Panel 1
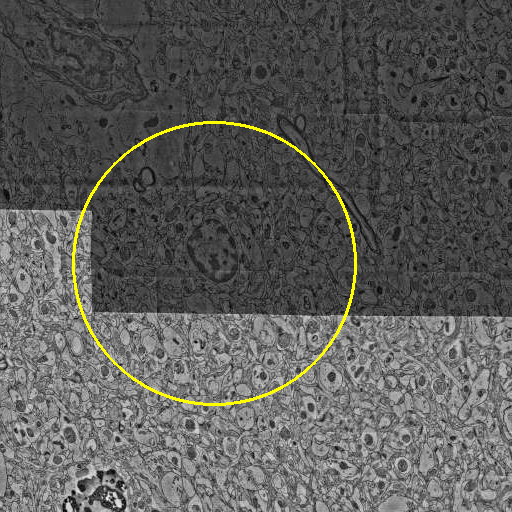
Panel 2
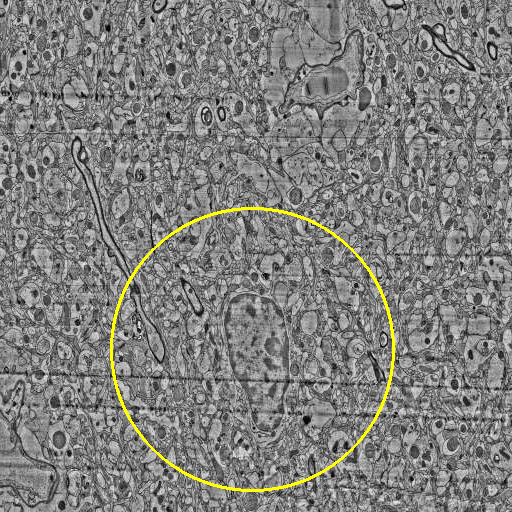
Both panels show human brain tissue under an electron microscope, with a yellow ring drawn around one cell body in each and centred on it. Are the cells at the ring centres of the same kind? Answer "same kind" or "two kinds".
same kind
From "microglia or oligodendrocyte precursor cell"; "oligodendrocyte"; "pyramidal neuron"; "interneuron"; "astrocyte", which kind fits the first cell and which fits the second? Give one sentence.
Both cells are the same kind, each one being a microglial cell or oligodendrocyte precursor cell.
